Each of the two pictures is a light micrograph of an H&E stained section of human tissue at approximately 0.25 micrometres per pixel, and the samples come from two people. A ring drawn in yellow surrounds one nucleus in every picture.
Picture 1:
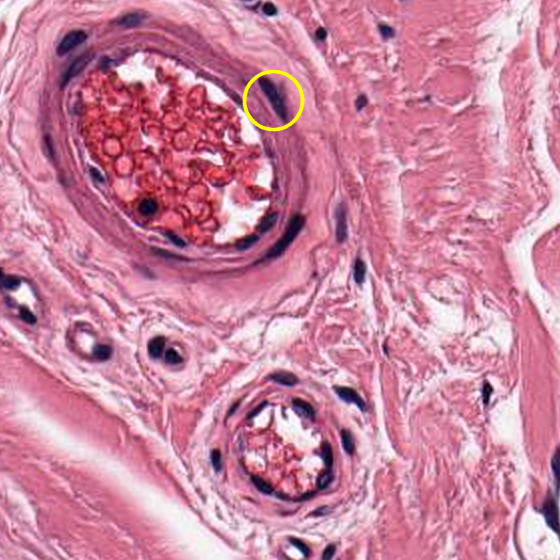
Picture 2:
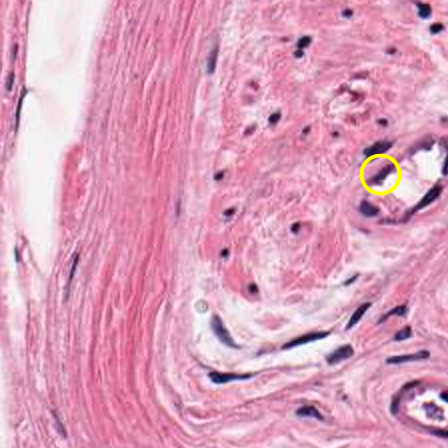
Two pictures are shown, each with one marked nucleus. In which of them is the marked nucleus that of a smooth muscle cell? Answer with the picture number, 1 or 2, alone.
1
